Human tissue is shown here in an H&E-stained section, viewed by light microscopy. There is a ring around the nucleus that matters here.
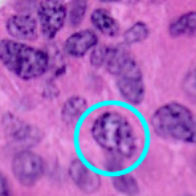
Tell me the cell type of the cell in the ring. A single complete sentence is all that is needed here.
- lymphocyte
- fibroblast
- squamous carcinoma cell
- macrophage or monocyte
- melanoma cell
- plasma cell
To be brief about it, the cell in the ring is a squamous carcinoma cell.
